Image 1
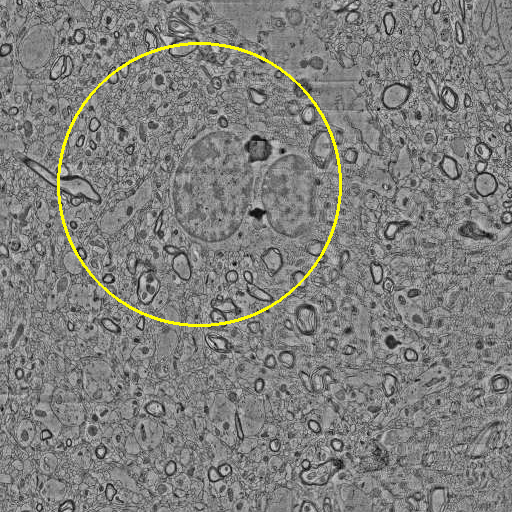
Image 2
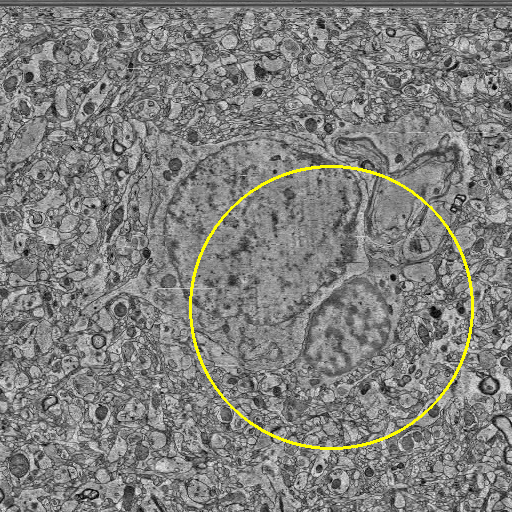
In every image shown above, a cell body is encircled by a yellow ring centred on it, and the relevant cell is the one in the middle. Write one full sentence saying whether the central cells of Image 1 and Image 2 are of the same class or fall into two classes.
The cell at the ring's centre in Image 1 and its counterpart in Image 2 are of the same class.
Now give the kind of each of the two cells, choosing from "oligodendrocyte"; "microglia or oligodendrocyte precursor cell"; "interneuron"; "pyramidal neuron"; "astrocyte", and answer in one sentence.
The ring centre holds an oligodendrocyte in each of the two pictures.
